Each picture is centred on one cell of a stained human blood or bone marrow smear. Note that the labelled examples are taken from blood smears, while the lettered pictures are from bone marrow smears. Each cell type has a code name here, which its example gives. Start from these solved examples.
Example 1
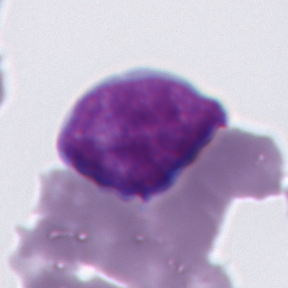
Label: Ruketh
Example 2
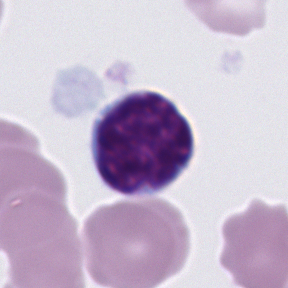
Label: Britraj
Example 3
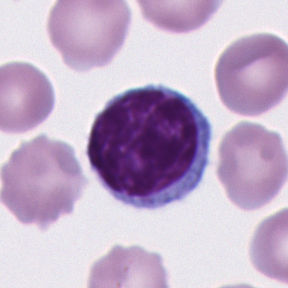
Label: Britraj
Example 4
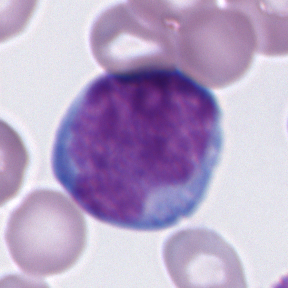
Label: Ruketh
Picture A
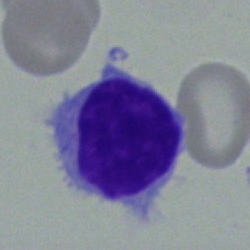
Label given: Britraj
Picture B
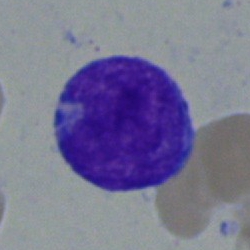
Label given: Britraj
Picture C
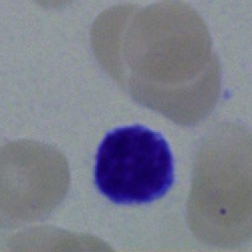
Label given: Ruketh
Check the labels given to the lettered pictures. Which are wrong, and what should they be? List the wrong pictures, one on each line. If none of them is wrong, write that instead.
Wrong: B (Britraj); correct: Ruketh
Wrong: C (Ruketh); correct: Britraj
